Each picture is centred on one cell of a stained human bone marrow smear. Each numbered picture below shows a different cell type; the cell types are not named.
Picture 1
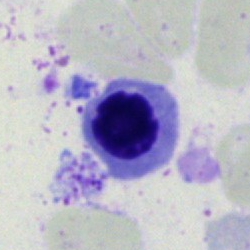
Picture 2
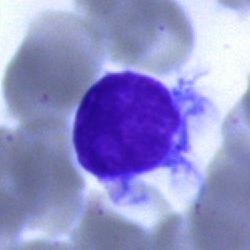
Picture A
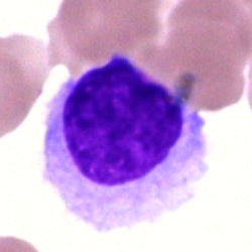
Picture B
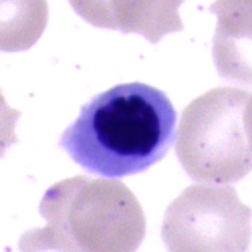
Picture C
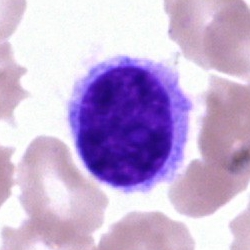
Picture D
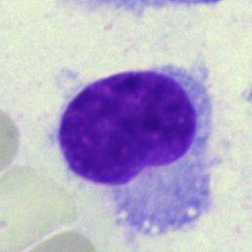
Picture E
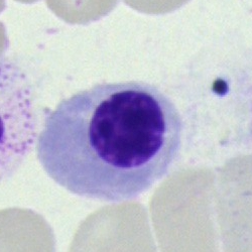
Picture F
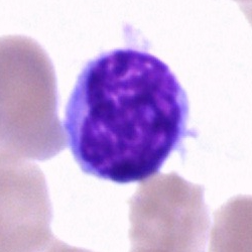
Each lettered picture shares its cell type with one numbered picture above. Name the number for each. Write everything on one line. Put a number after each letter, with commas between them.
A 2, B 1, C 2, D 2, E 1, F 2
